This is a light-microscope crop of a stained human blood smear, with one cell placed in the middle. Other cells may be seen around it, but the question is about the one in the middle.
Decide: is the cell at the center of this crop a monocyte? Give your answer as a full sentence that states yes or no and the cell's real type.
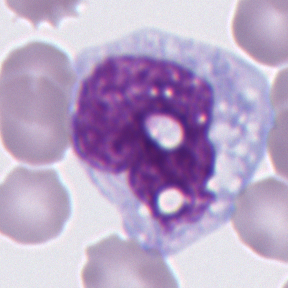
Yes, the cell here in the middle is a monocyte.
